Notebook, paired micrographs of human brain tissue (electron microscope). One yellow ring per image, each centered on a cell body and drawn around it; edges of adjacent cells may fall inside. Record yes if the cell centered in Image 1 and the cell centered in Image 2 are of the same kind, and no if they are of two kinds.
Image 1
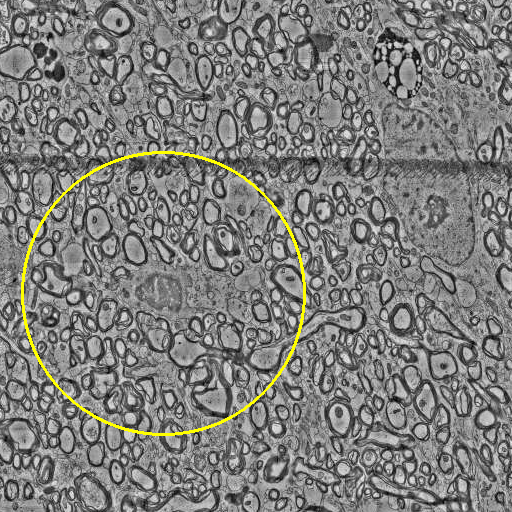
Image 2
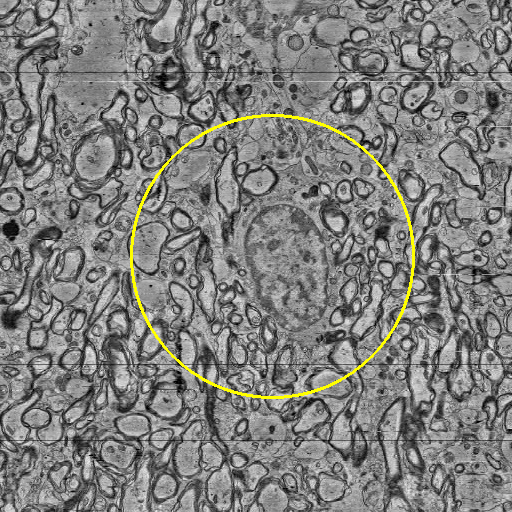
yes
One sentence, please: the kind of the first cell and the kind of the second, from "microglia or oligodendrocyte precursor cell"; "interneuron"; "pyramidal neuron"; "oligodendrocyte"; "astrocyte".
The first and the second cell are each an oligodendrocyte.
